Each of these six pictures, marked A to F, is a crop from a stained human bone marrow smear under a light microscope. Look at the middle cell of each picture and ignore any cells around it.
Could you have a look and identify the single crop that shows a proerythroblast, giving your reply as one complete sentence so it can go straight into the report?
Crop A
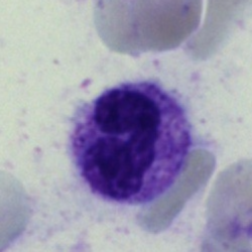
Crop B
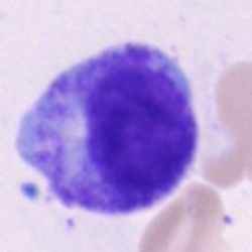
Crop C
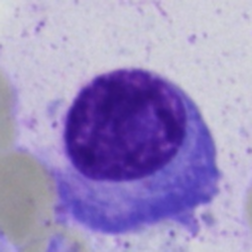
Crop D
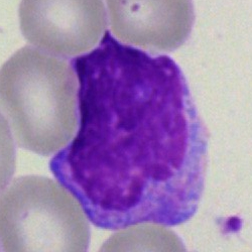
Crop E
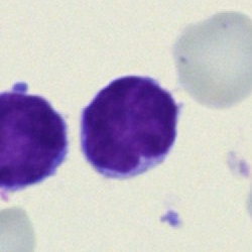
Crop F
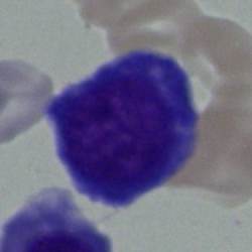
The crop with a proerythroblast at its center is crop F.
